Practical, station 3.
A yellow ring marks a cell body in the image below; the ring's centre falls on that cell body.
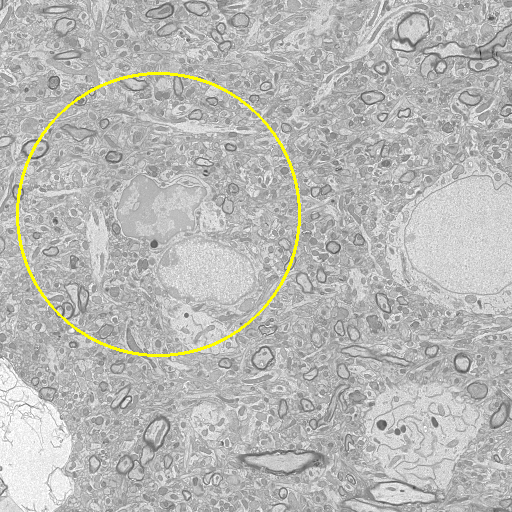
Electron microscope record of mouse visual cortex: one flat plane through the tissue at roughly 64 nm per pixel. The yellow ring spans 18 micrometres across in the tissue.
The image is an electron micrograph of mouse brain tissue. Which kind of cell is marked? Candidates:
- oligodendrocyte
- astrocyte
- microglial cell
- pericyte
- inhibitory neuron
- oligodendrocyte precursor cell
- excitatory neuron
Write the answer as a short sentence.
The marked cell body is that of a microglial cell.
